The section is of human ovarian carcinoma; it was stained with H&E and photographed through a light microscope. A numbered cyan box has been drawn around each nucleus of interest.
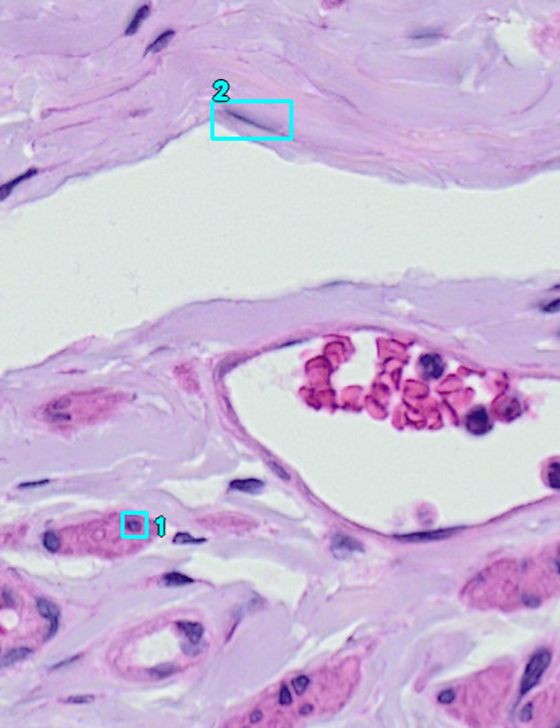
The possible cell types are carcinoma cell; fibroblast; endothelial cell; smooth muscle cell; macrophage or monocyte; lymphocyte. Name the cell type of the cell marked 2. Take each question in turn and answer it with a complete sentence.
Number 2 among the marked cells is a fibroblast.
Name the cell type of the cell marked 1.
That cell with number 1 is a smooth muscle cell.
